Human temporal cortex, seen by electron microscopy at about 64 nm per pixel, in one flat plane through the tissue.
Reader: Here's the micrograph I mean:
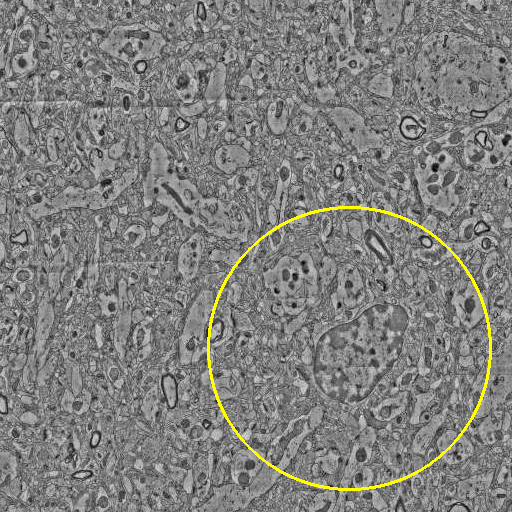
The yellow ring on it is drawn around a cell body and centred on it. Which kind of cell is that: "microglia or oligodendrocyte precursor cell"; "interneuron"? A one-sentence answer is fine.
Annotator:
The ring is centred on a microglial cell or oligodendrocyte precursor cell.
